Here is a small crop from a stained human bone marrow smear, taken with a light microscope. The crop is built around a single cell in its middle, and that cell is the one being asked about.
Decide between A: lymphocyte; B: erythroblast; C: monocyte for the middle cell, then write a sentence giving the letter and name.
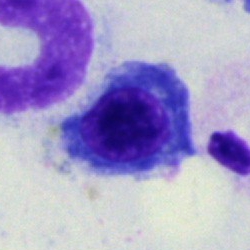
What sits in the middle of the crop is an erythroblast, and option B is correct.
